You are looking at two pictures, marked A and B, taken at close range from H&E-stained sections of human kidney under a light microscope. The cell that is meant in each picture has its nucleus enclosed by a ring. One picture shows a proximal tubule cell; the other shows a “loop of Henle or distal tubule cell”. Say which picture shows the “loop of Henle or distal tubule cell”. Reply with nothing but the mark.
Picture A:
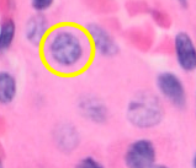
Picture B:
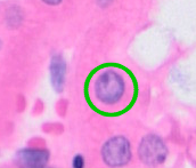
A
